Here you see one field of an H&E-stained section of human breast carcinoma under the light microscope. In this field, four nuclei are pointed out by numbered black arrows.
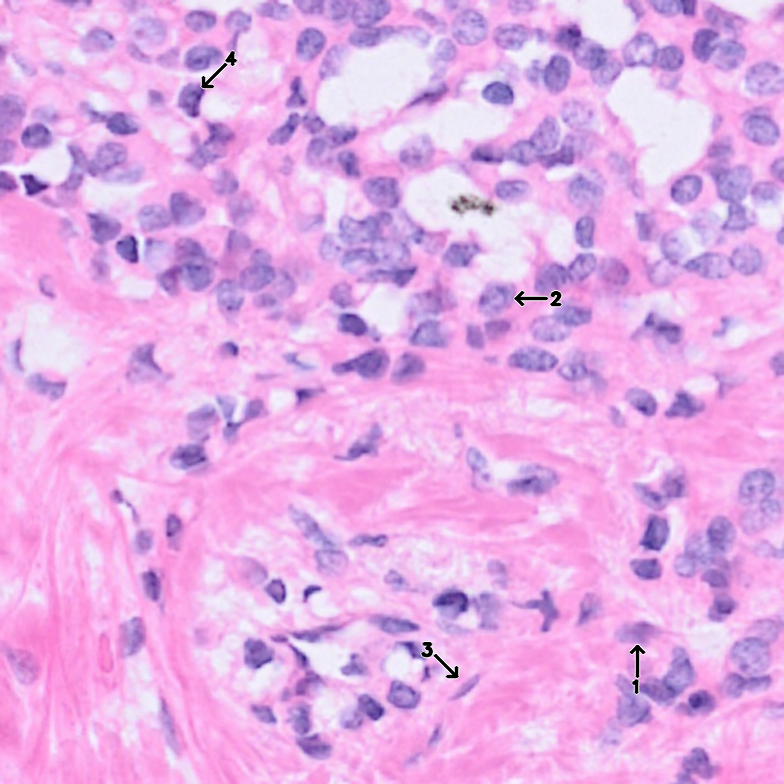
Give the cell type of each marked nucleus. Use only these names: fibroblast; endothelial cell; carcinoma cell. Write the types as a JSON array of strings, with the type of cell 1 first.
["fibroblast", "carcinoma cell", "fibroblast", "carcinoma cell"]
